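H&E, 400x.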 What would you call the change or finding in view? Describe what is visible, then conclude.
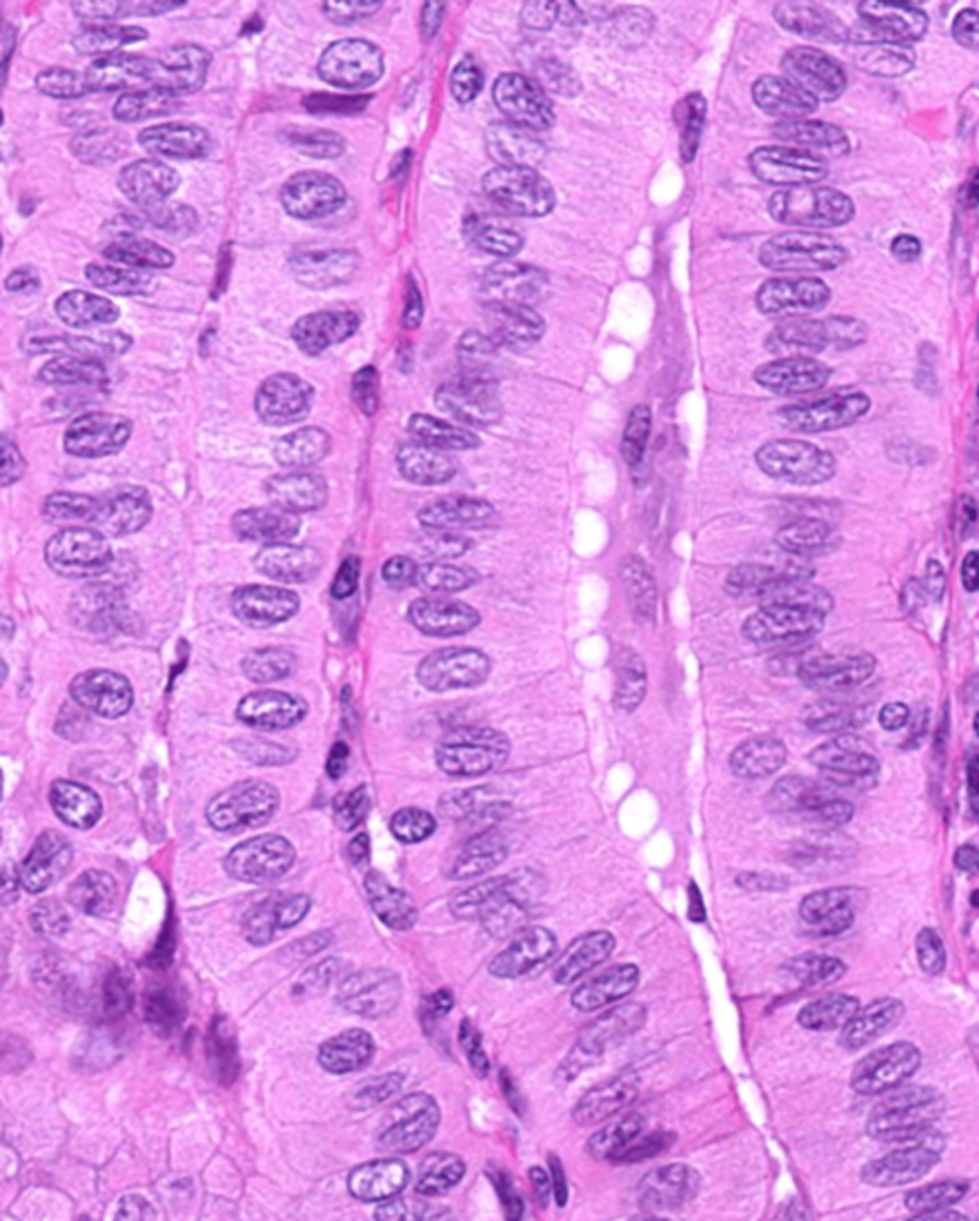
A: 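The cells have plentiful pink cytoplasm. The cytoplasm is finely granular and evenly pink. The answer: abundant eosinophilic or oncocytic-like cytoplasm.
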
